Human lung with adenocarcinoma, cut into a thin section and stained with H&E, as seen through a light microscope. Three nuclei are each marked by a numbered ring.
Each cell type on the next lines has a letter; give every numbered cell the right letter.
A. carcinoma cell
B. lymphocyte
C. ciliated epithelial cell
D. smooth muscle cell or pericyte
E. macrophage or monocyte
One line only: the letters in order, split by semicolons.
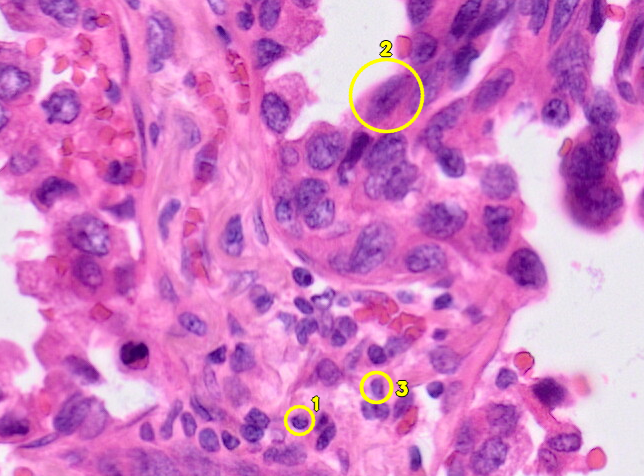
B; A; B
